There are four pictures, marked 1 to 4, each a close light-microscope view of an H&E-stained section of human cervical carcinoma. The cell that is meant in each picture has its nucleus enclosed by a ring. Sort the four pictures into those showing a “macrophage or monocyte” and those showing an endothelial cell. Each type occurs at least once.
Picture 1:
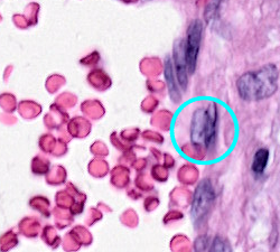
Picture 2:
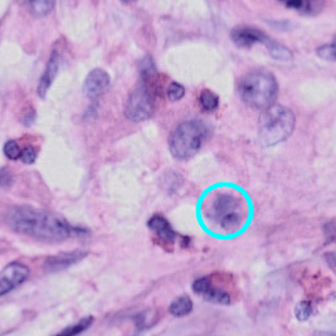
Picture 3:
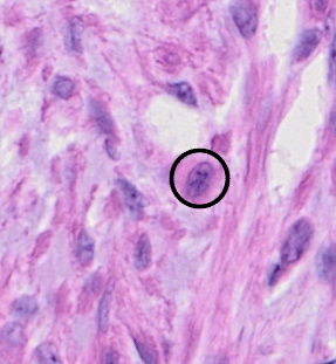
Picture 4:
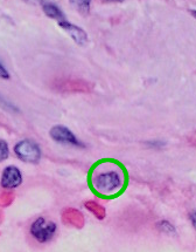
1: endothelial cell
2: macrophage or monocyte
3: macrophage or monocyte
4: endothelial cell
